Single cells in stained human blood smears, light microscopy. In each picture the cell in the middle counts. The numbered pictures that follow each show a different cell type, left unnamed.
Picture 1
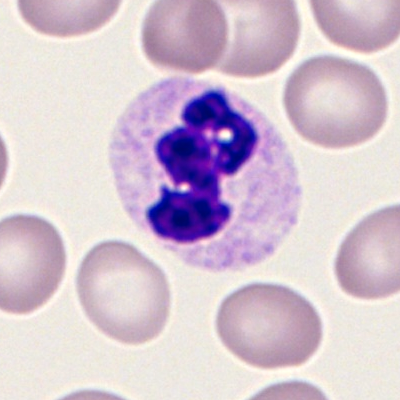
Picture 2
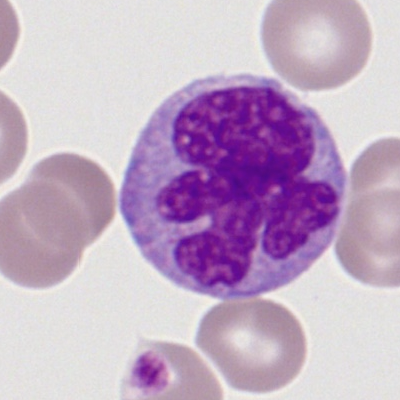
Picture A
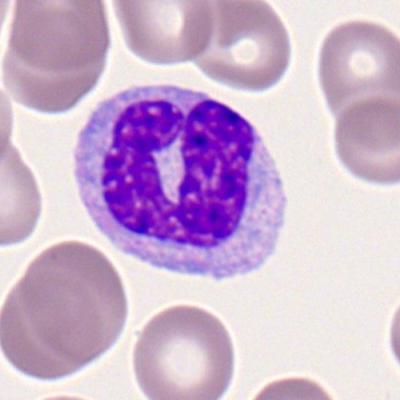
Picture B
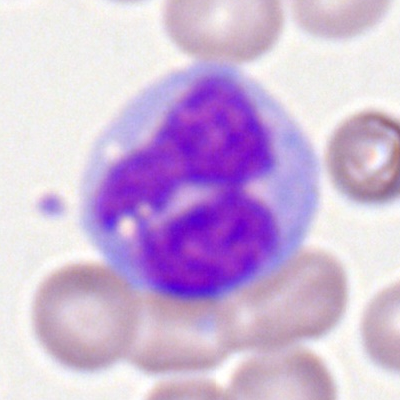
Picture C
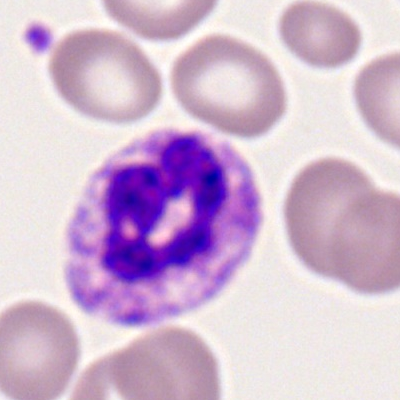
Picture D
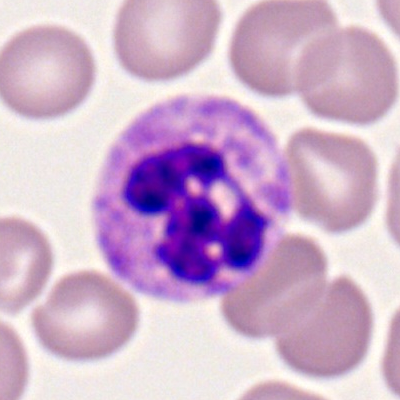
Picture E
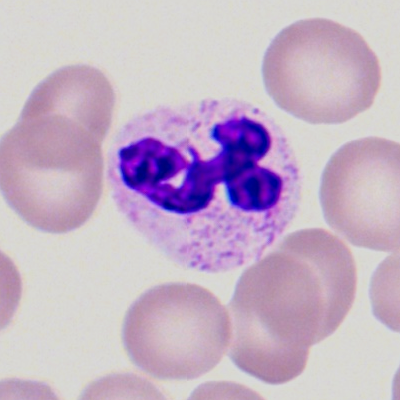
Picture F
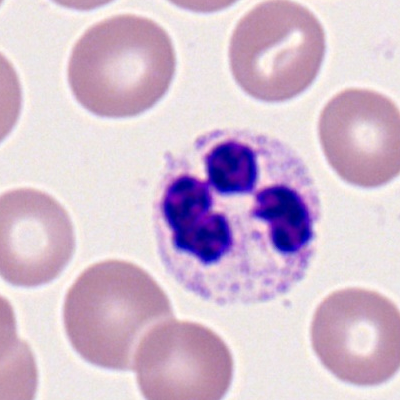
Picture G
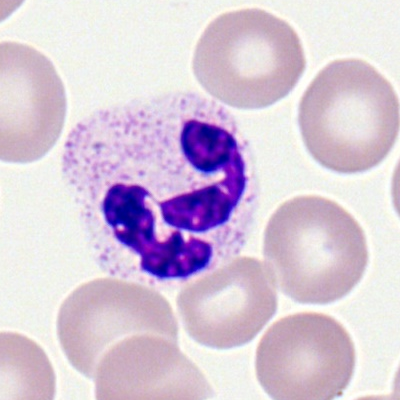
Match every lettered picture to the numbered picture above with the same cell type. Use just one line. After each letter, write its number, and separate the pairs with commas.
A 2, B 2, C 1, D 1, E 1, F 1, G 1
